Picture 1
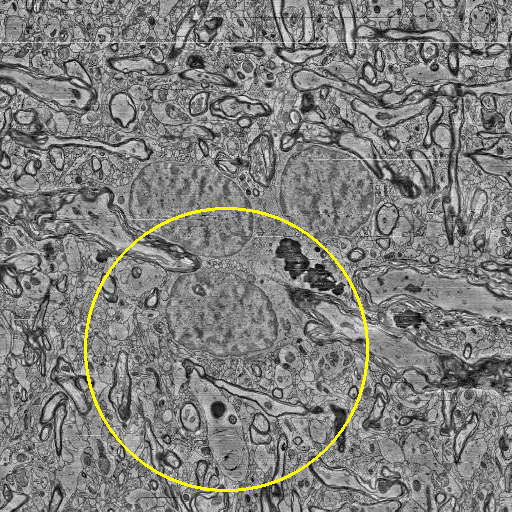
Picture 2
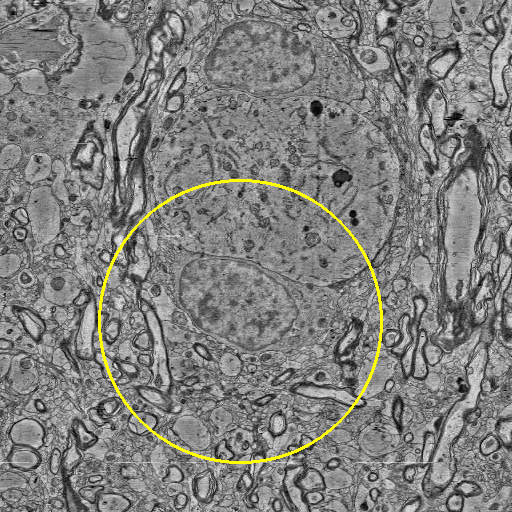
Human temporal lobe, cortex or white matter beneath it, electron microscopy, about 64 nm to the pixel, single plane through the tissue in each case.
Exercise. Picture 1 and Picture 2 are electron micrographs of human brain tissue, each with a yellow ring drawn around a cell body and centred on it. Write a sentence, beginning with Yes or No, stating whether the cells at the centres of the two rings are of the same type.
Yes, the cells at the centres of both rings are of the same type.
